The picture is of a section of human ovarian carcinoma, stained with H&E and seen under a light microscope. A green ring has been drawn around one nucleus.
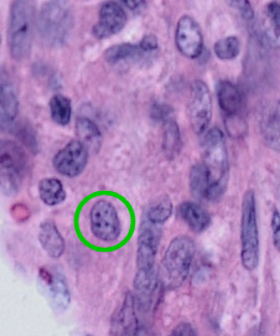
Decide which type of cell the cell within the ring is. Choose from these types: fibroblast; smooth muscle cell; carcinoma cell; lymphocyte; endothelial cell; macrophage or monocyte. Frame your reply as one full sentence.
Considered by cell type, the cell within the ring is a macrophage or monocyte.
